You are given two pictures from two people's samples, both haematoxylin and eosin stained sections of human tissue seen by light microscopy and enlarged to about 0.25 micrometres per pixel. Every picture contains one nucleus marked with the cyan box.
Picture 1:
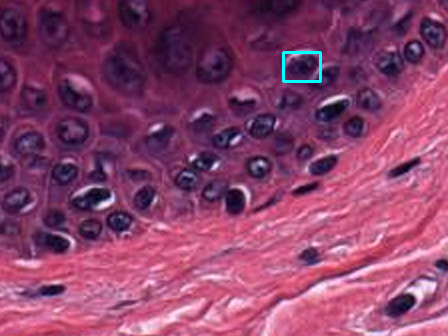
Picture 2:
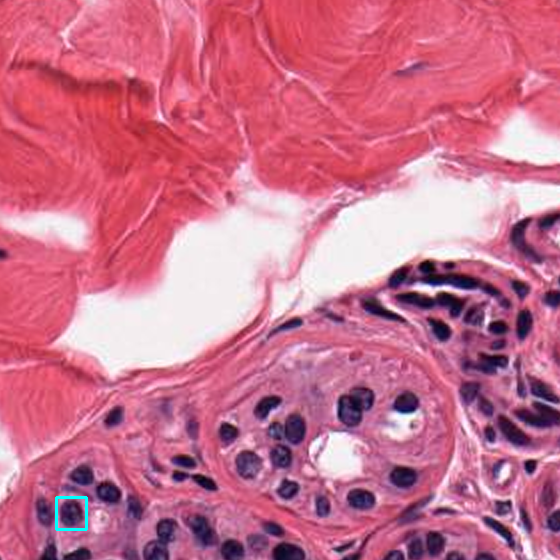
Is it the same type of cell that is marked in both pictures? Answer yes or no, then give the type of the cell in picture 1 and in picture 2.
No, the first is a keratinocyte and the second a sweat gland cell.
